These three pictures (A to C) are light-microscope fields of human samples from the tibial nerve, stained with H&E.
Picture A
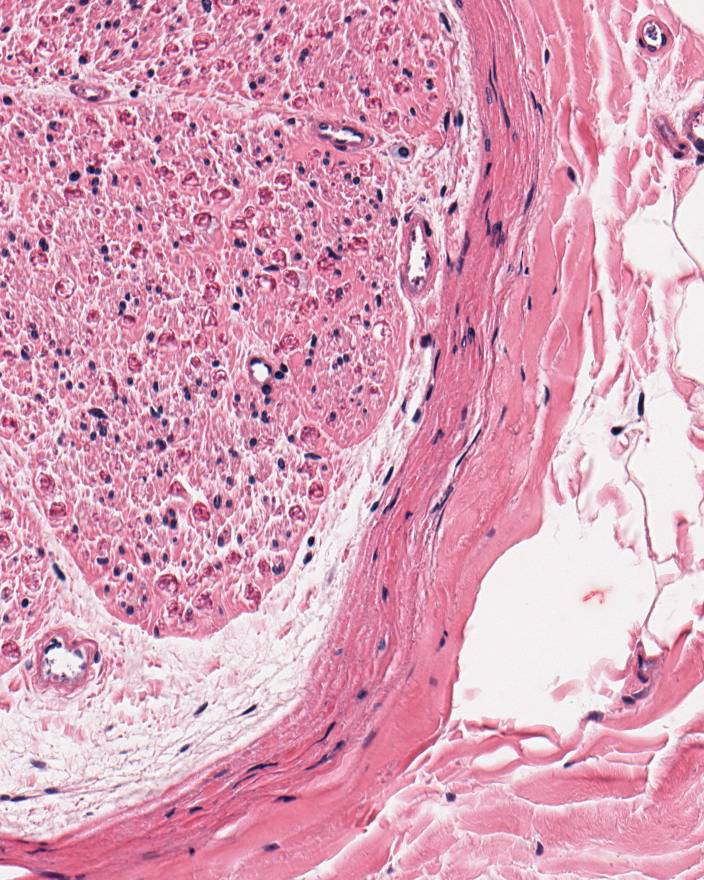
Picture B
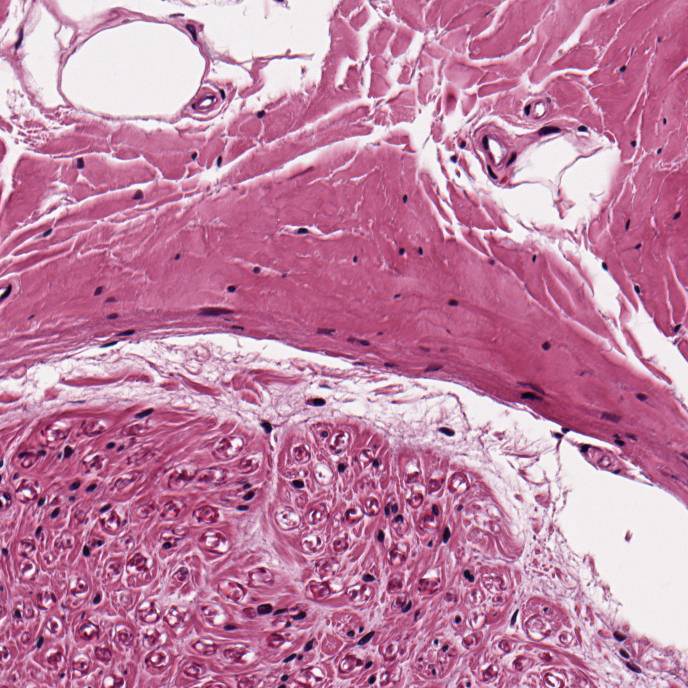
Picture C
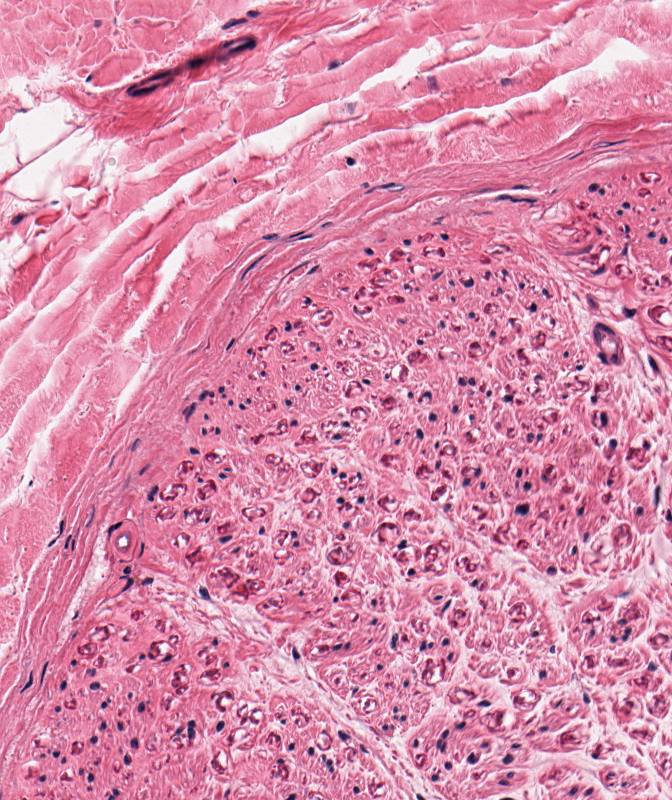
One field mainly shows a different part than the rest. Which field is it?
B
